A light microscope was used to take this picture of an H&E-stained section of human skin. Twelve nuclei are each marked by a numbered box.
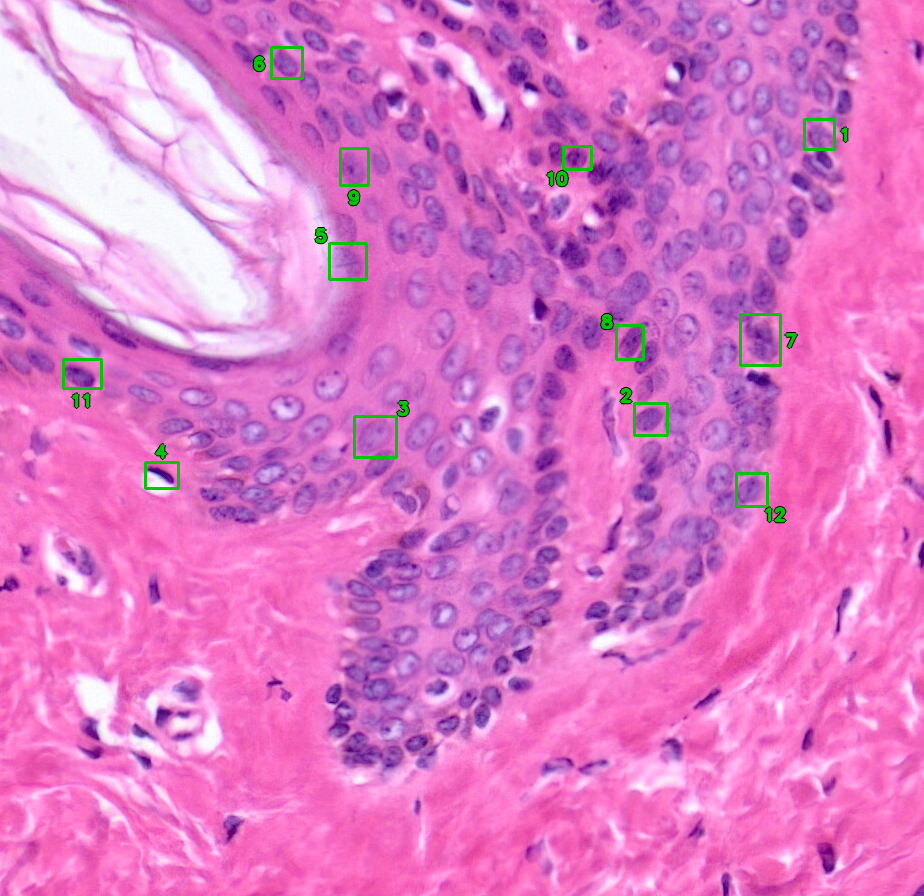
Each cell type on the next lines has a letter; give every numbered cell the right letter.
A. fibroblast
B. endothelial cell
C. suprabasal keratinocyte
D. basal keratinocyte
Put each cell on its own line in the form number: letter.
1: D
2: D
3: C
4: A
5: C
6: C
7: D
8: D
9: C
10: D
11: D
12: D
